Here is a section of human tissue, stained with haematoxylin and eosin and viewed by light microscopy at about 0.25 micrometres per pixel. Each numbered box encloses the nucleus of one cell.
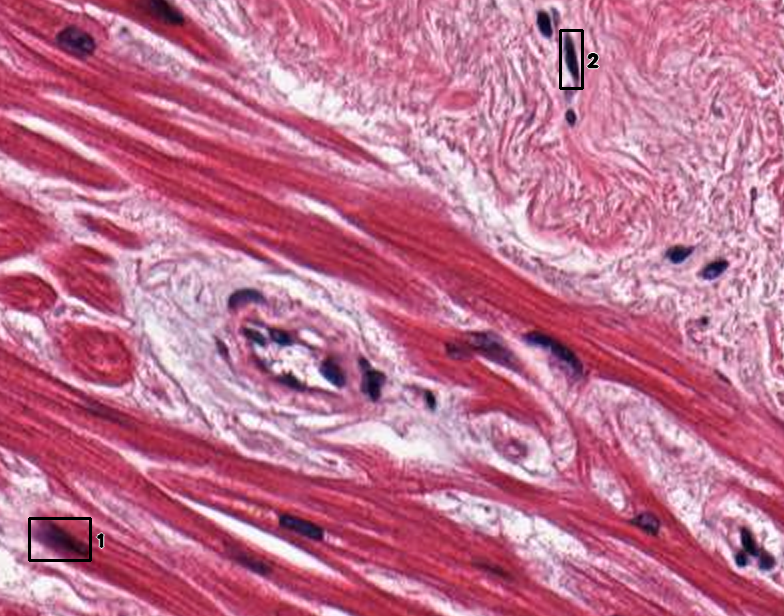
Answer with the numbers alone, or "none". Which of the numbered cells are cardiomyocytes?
1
